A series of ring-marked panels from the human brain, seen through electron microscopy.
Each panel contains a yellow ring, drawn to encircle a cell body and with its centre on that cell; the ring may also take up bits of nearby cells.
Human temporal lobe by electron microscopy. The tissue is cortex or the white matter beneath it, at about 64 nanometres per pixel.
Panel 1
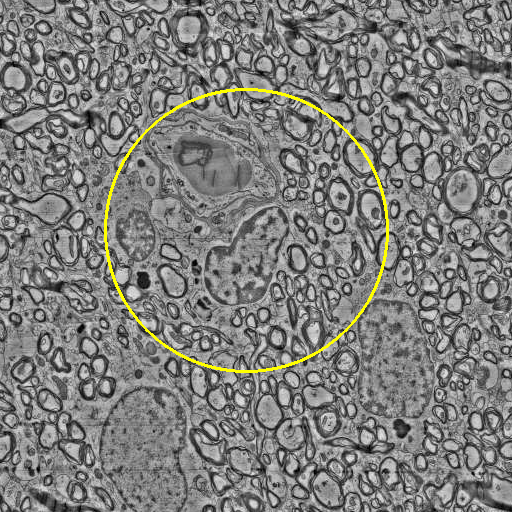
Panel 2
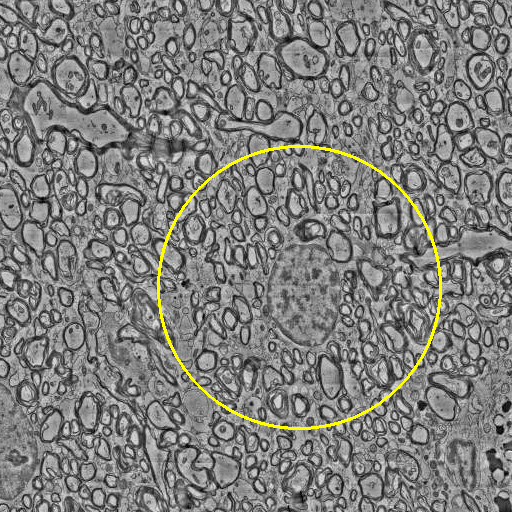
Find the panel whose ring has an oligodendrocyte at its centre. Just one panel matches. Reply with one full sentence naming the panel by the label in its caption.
The sought cell lies at the centre of the ring shown in Panel 2.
